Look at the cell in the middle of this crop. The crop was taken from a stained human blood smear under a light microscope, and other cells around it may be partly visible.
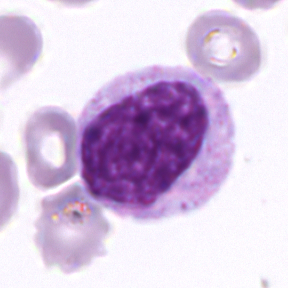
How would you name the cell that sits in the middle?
metamyelocyte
